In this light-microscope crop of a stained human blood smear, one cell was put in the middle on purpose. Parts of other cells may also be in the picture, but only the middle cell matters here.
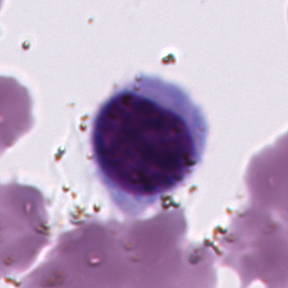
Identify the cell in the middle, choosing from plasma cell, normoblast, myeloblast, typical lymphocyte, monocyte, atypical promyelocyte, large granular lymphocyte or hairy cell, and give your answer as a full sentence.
In the middle of this smear crop is a hairy cell.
